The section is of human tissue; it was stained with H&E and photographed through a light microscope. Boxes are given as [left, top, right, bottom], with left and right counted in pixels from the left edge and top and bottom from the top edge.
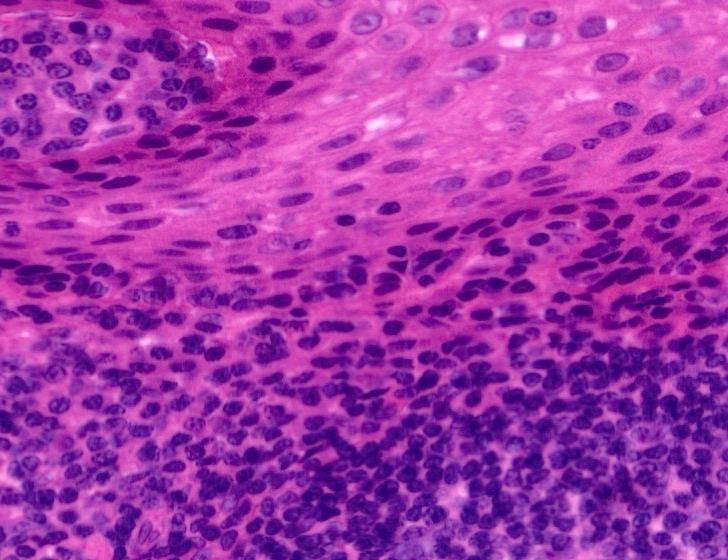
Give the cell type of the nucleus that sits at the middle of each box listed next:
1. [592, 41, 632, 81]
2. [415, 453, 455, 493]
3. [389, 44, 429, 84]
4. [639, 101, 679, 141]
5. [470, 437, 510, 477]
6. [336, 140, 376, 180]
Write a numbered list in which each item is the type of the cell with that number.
1. squamous epithelial cell
2. small lymphocyte
3. squamous epithelial cell
4. squamous epithelial cell
5. small lymphocyte
6. squamous epithelial cell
